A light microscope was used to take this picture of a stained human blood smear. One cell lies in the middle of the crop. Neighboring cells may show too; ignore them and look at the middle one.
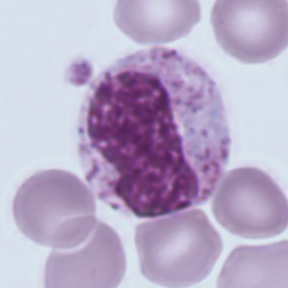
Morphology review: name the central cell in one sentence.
In the central position of this crop, the cell is a metamyelocyte.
